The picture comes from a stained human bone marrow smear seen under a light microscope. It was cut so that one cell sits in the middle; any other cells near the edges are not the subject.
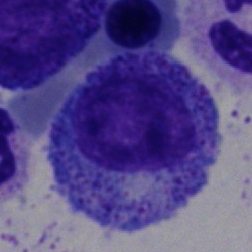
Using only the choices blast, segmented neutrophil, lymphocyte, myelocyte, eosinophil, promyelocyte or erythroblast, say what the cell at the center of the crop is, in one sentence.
The middle position in this crop is taken by a promyelocyte.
